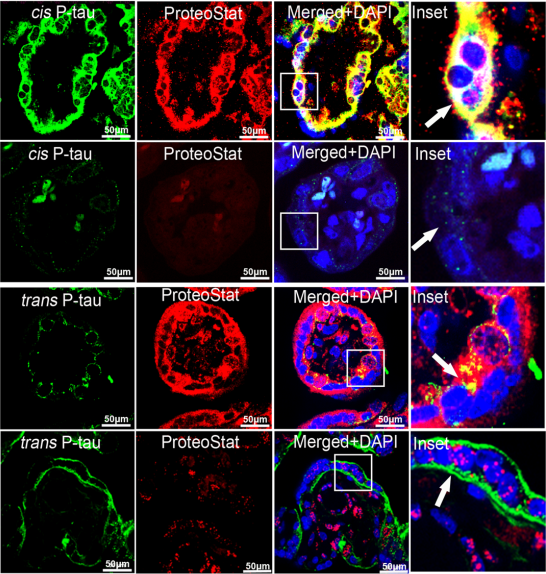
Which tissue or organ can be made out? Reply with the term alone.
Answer: placental tissue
